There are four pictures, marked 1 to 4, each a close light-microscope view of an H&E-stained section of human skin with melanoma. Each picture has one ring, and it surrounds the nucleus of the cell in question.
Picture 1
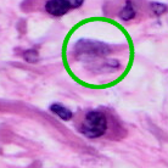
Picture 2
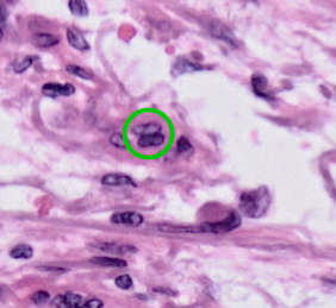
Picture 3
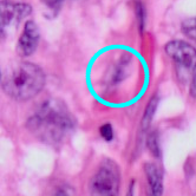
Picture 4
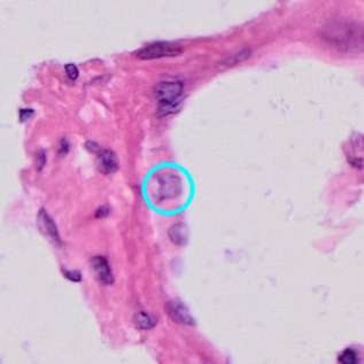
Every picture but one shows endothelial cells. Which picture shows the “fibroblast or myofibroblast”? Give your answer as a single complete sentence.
It is picture 1 that shows the “fibroblast or myofibroblast”.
